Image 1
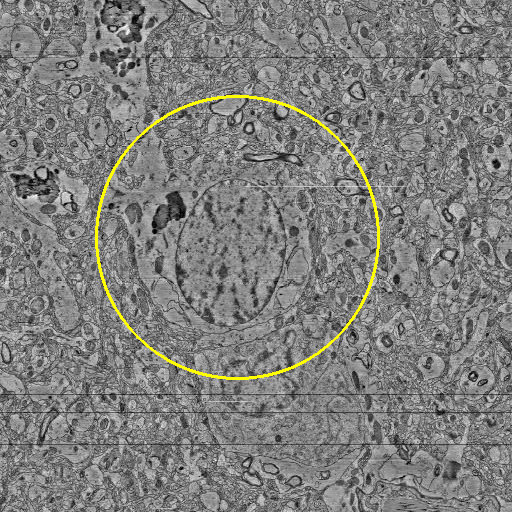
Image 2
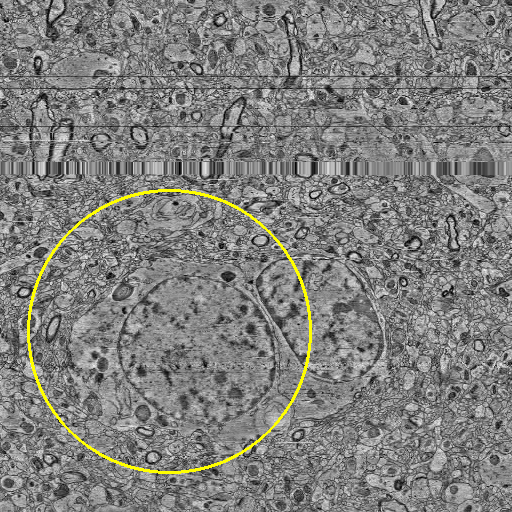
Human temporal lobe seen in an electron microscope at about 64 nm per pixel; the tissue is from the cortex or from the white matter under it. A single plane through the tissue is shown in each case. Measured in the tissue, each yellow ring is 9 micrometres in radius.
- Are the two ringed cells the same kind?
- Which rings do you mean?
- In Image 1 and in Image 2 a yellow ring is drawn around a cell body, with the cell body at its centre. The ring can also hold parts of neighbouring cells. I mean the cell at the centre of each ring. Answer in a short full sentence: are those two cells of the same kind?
Yes, both cells are of the same kind.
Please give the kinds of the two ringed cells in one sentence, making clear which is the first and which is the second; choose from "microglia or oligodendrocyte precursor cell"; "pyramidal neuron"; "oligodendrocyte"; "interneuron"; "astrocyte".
Each of the two rings is centred on an astrocyte.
